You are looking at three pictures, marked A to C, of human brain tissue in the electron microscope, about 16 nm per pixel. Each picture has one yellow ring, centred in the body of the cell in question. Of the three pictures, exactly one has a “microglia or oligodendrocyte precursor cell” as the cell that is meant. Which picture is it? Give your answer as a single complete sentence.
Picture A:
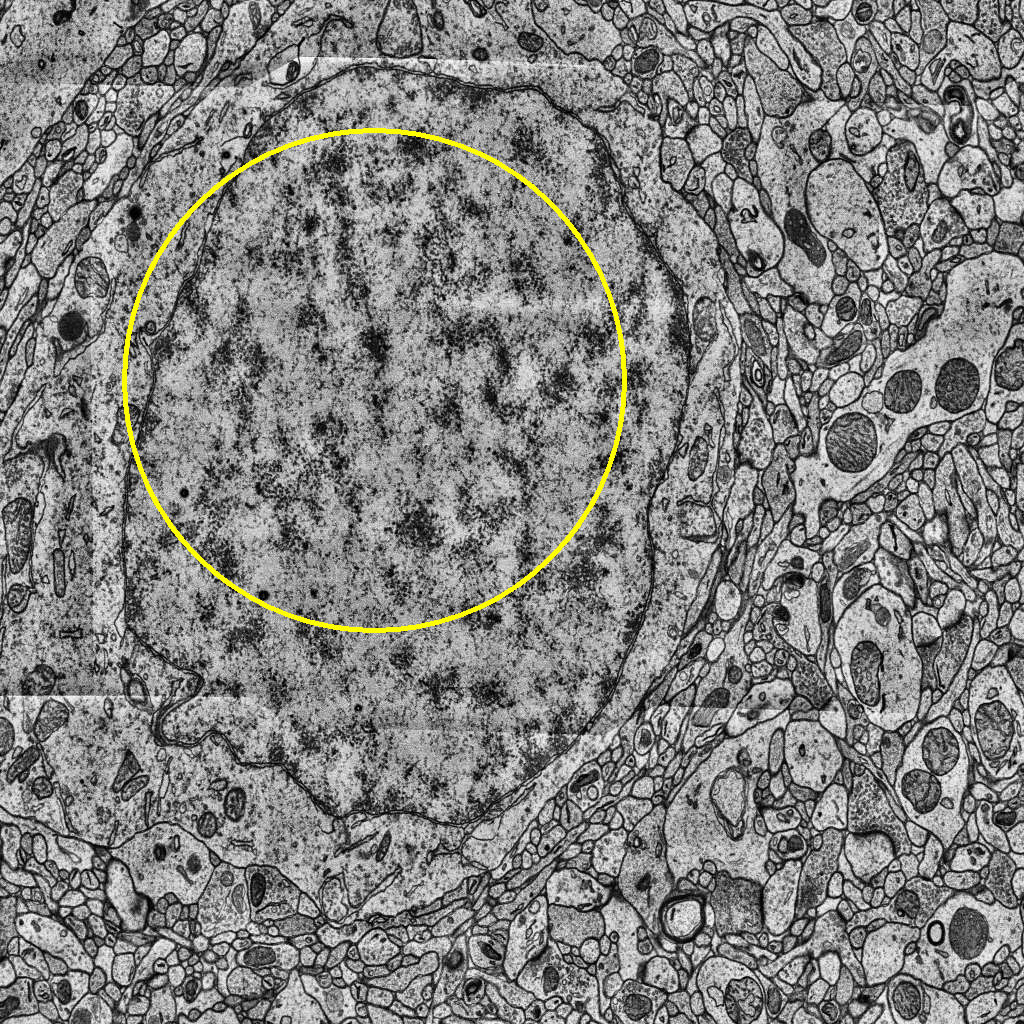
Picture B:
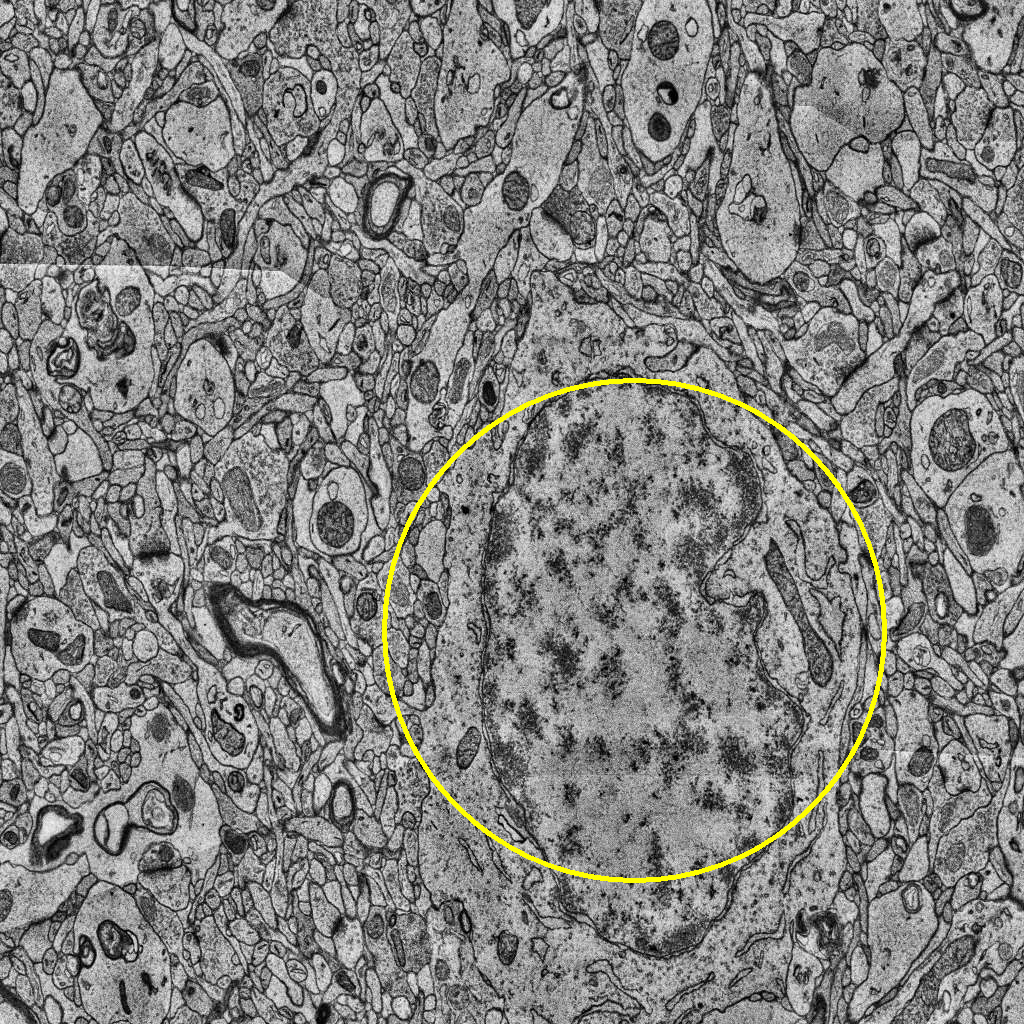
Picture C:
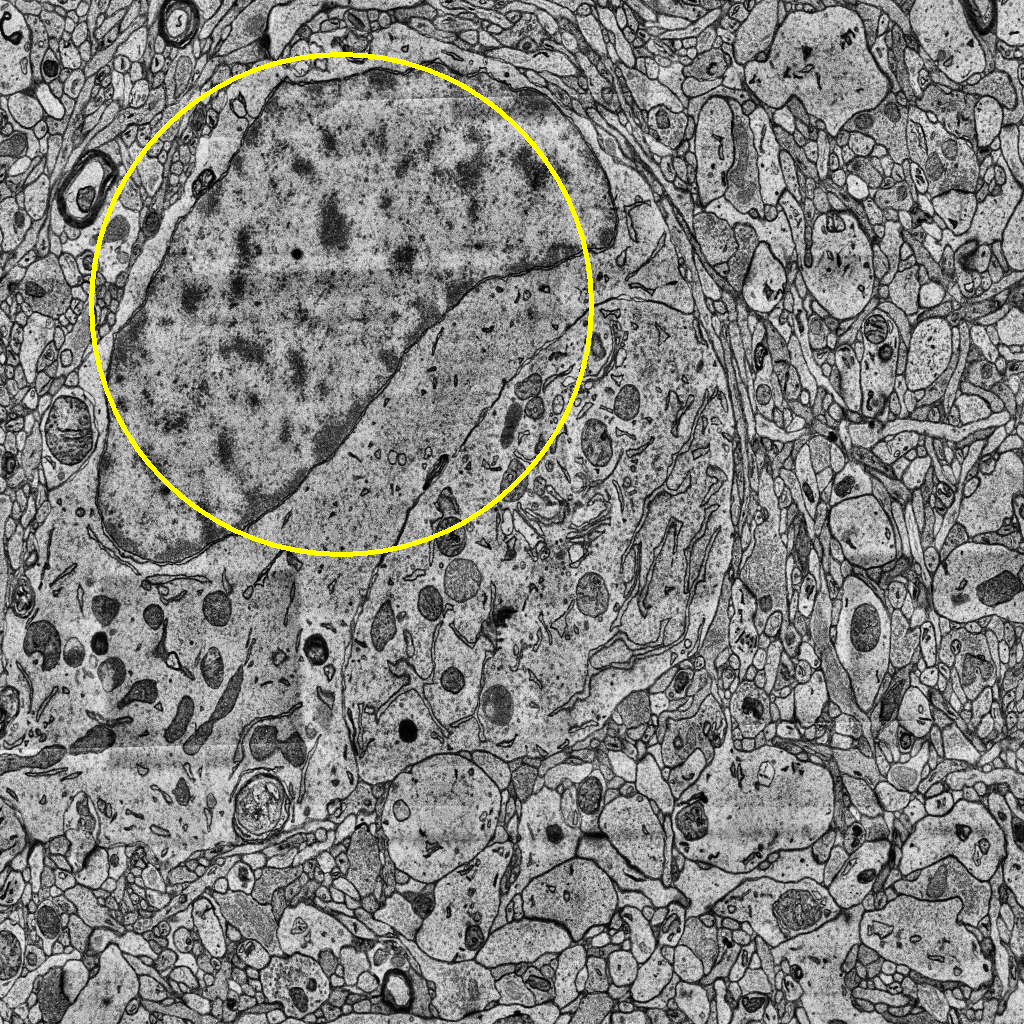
The picture with the “microglia or oligodendrocyte precursor cell” is C.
